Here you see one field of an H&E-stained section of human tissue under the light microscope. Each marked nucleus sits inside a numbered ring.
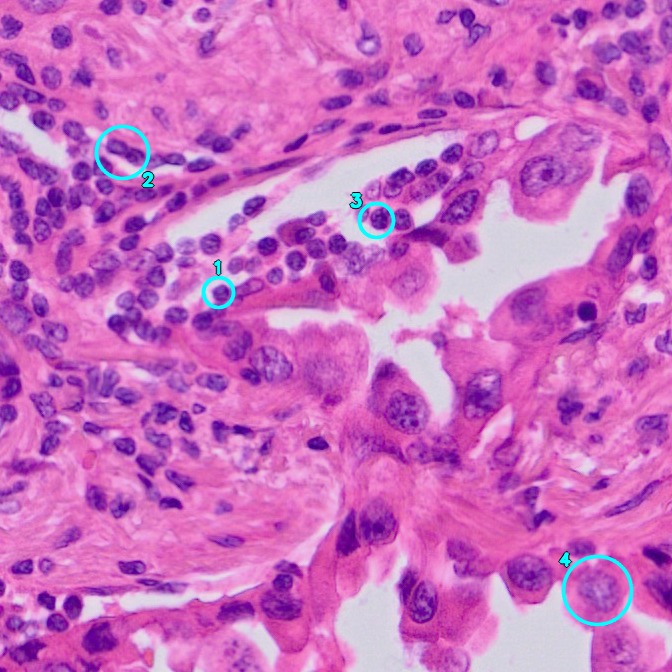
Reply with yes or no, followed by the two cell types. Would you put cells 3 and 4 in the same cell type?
No, that does not hold; cell 3 is a lymphocyte and cell 4 is a carcinoma cell.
